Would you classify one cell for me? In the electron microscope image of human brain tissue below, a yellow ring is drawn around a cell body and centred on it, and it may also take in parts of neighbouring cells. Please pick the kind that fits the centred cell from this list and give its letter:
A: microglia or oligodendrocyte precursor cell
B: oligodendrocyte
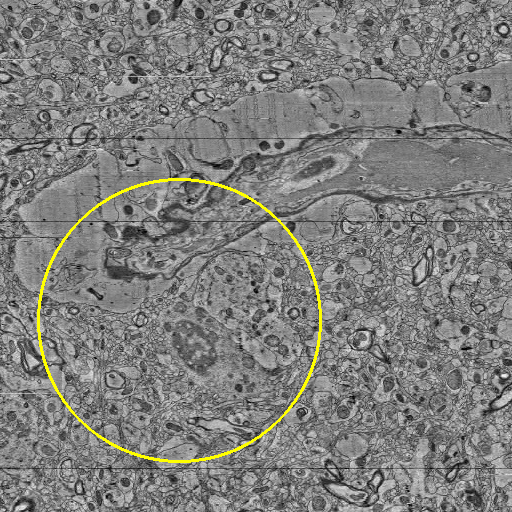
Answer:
B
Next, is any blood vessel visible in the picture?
Yes, a vessel appears in the picture.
